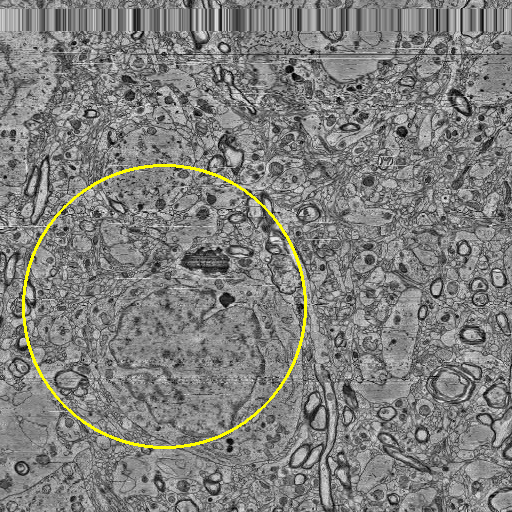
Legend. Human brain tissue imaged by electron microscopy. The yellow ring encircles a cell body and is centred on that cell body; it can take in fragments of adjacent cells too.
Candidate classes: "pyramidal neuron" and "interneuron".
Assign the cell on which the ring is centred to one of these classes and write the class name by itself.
interneuron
